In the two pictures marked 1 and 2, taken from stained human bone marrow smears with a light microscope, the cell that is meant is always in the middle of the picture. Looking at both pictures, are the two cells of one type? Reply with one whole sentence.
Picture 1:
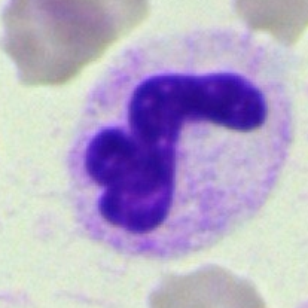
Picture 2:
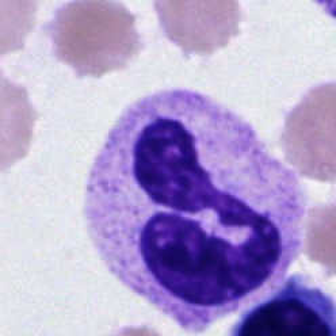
Yes, the two pictures both show segmented neutrophils.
